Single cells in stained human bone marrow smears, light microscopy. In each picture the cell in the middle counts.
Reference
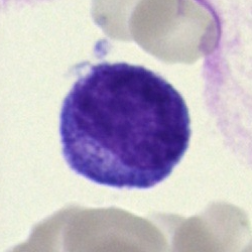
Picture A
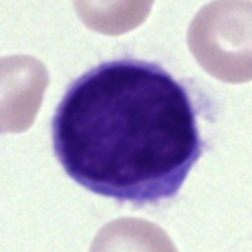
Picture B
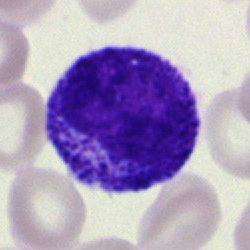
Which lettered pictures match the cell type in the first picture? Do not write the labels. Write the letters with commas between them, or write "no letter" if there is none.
B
